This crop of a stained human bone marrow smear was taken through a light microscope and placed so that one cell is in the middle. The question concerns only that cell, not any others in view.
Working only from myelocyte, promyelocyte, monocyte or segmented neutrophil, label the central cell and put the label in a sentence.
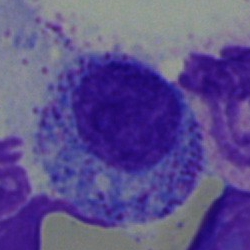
At the middle of the frame sits a myelocyte.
